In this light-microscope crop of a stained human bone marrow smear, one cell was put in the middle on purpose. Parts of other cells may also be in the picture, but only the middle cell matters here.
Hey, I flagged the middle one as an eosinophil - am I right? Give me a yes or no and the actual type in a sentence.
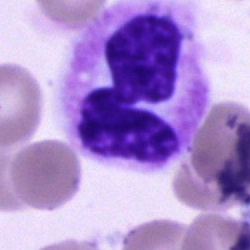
No, the central cell is not an eosinophil, being instead a neutrophil.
